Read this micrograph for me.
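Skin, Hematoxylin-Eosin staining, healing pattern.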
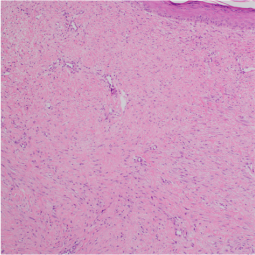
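The dermis is a fairly uniform pink tissue crowded with small, elongated purple nuclei of myofibroblasts and fibroblasts spread evenly through it. A small vessel lies near the middle of the field, with a few more nuclei gathered around it. The collagen here is fine and even, without the coarse bundles of a thick scar.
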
